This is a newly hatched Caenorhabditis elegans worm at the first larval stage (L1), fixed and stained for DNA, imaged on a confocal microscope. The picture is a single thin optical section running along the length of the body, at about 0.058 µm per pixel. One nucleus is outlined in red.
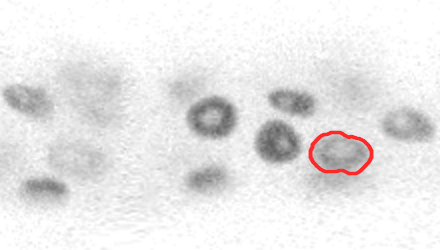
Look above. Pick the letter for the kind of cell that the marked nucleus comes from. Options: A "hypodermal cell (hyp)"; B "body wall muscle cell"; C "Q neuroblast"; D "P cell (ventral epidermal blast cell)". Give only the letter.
A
